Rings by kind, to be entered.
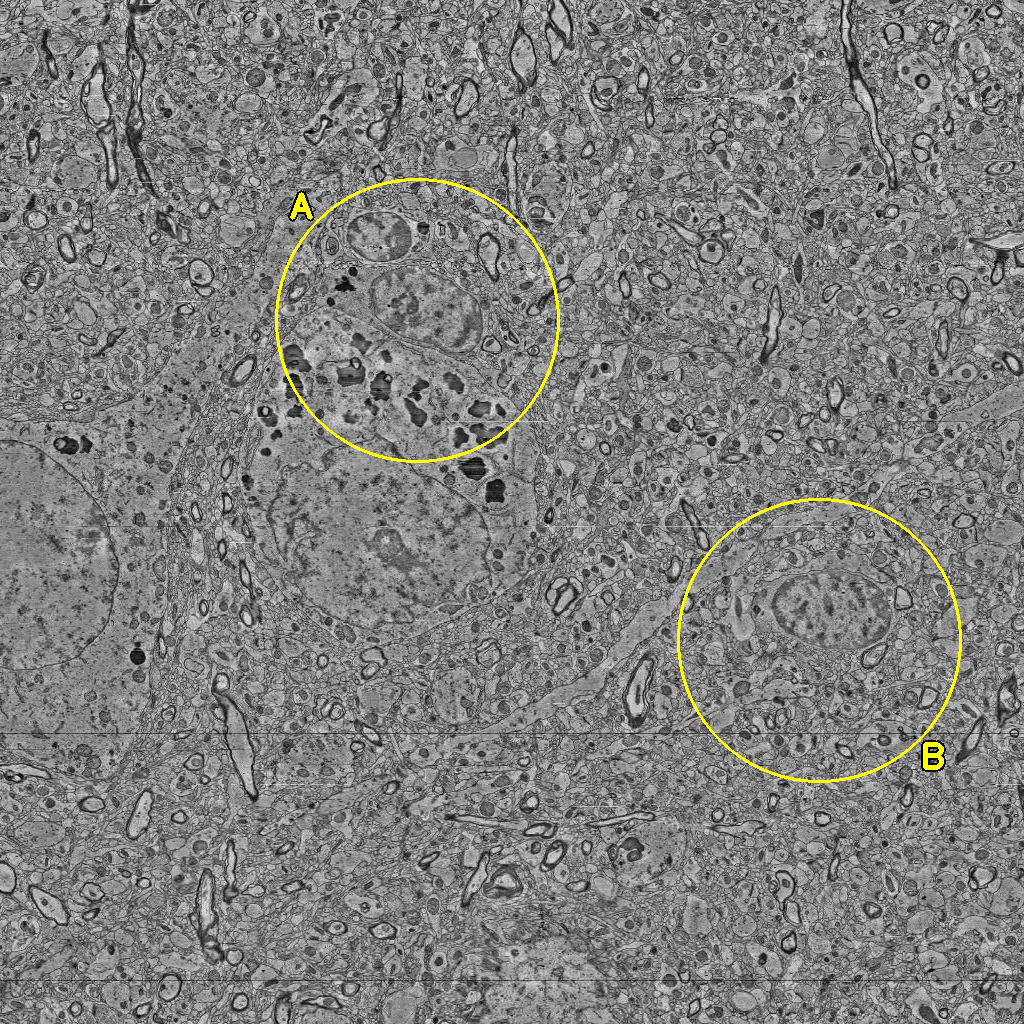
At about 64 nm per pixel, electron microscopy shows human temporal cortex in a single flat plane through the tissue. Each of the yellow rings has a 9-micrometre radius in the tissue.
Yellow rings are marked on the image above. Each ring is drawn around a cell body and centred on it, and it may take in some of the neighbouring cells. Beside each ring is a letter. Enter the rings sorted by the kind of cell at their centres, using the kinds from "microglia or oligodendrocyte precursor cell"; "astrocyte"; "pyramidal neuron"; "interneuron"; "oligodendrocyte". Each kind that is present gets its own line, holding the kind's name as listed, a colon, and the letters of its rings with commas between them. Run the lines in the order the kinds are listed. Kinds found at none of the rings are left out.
oligodendrocyte: A, B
